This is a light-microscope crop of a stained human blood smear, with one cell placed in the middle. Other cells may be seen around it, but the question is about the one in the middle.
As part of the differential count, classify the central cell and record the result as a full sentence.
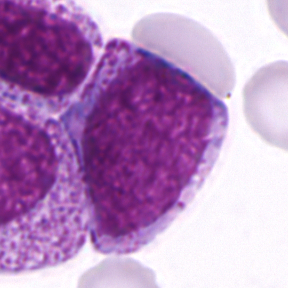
The crop centres on a single cell, and that cell is a promyelocyte.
